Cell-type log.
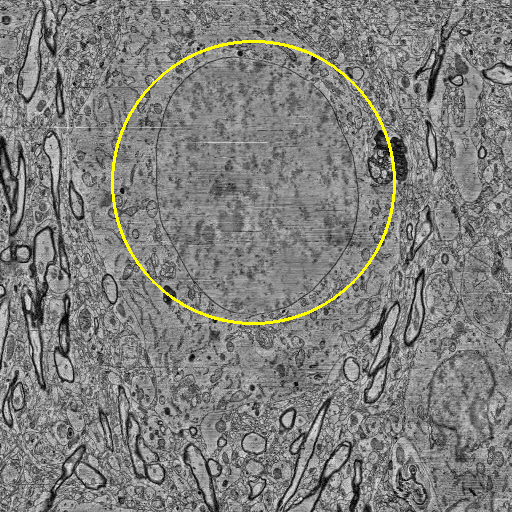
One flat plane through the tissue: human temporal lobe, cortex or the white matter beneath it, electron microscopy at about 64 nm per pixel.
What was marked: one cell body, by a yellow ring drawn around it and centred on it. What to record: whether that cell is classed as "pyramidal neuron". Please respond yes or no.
Yes, the cell is classed that way.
